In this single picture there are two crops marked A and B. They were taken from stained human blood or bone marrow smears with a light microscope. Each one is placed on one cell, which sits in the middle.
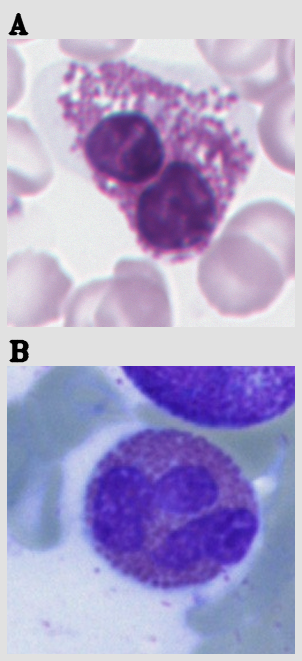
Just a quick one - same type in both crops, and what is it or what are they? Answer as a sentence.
Yes, both crops depict eosinophils at the centre.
